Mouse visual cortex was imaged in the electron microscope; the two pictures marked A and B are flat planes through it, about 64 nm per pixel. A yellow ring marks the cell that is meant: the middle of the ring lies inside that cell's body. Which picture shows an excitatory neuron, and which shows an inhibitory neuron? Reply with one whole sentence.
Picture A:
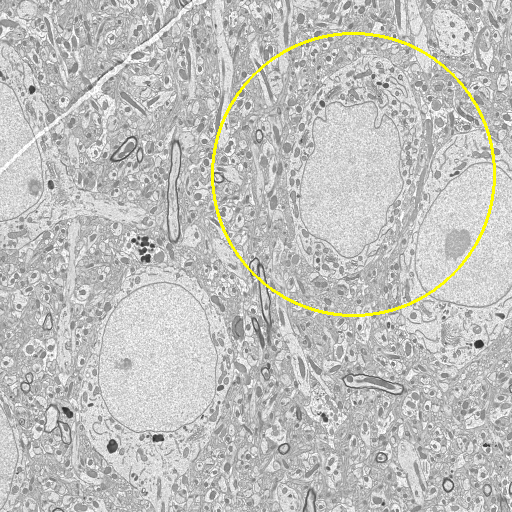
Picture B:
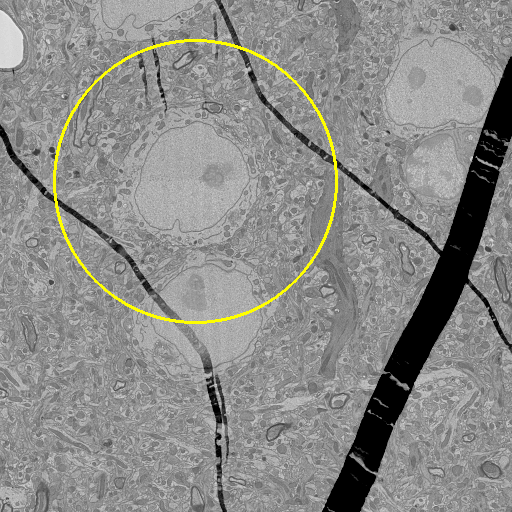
Picture A shows an inhibitory neuron and picture B shows an excitatory neuron.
